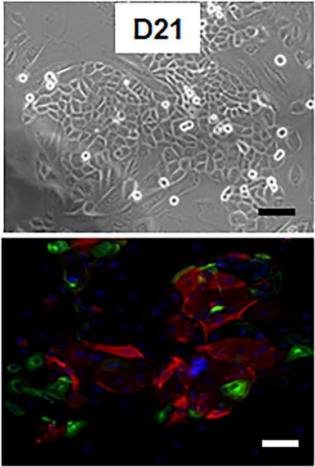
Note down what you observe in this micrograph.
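In the upper image, flat polygonal epithelial cells lie packed together in a compact colony with a distinct edge, and a few small round bright cells sit on top of it. In the lower image, large spread cells with red cytoplasm lie beside smaller cells with bright green cytoplasm, and the green cells cluster mostly at the borders of the red ones. Blue nuclei mark the individual cells.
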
